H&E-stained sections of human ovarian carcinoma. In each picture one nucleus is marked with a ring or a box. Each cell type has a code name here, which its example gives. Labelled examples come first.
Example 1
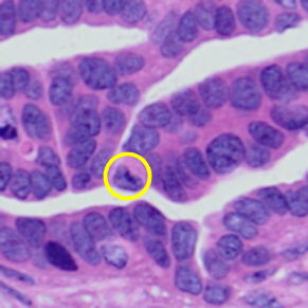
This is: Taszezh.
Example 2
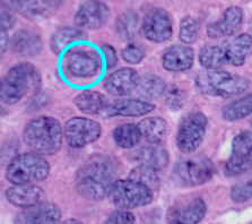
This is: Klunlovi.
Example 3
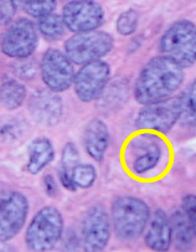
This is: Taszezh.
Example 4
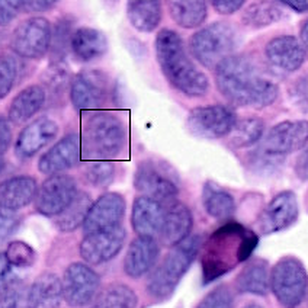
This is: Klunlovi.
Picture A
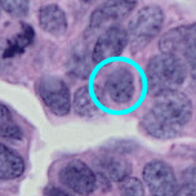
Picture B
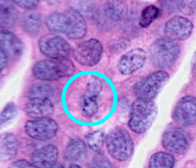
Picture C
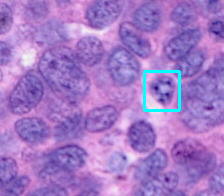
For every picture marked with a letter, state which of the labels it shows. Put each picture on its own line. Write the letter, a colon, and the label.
A: Klunlovi.
B: Taszezh.
C: Taszezh.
